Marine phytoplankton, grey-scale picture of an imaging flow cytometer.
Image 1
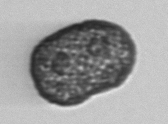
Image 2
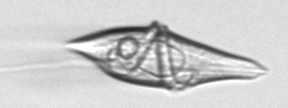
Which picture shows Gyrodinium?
Picture 2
